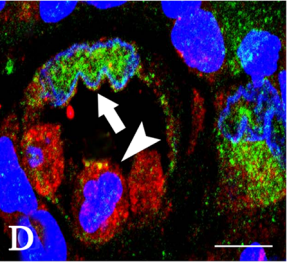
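At the upper rim one lining cell shows coarse green granular fluorescence spread over its blue nucleus and into the surrounding cytoplasm. Lower on the rim lie cells with rounded blue nuclei and diffuse red cytoplasm. A few small yellow points mark where green and red overlap.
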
